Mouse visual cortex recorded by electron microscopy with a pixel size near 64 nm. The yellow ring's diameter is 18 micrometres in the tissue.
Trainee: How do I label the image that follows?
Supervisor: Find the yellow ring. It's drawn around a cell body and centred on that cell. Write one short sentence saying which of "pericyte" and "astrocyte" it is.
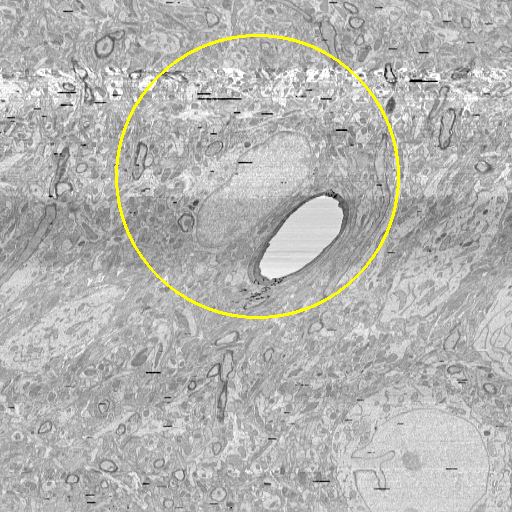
This is the cell body of an astrocyte.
